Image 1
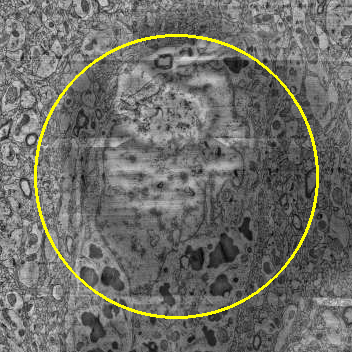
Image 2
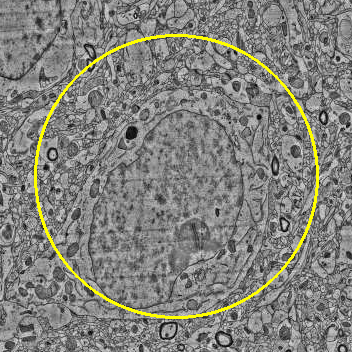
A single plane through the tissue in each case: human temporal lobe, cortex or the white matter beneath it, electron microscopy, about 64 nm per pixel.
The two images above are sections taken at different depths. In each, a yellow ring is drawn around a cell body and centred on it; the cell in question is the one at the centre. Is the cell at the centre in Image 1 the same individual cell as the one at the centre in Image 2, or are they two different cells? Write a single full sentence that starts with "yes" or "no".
No, the circled cells number two, not one.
